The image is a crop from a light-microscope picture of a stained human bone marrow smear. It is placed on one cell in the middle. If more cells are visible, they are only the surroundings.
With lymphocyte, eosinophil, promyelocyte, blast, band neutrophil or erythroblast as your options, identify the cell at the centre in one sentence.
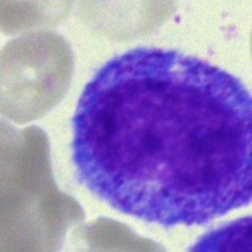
The crop centres on a single cell, and that cell is a promyelocyte.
